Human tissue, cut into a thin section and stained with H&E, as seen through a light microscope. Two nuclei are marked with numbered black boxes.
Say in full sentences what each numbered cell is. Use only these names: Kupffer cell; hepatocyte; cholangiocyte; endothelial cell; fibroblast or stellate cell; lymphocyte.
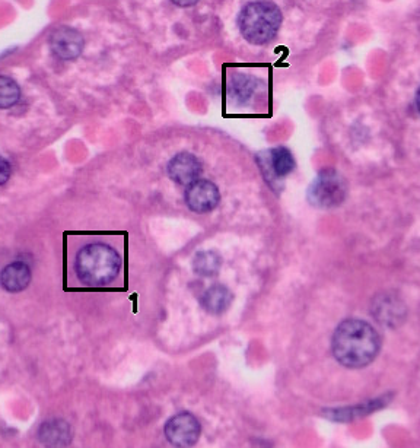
Cell 1 is a hepatocyte. Cell 2 is a Kupffer cell.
